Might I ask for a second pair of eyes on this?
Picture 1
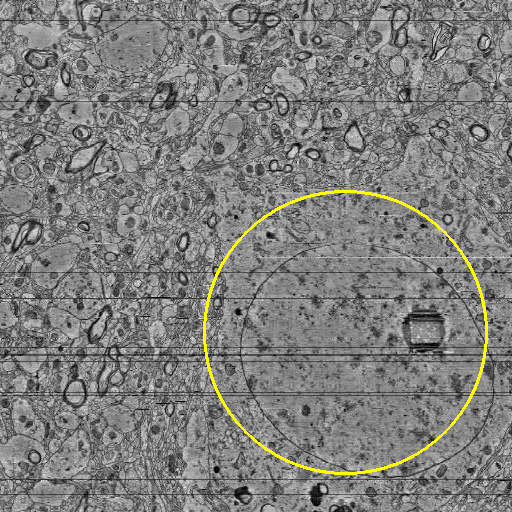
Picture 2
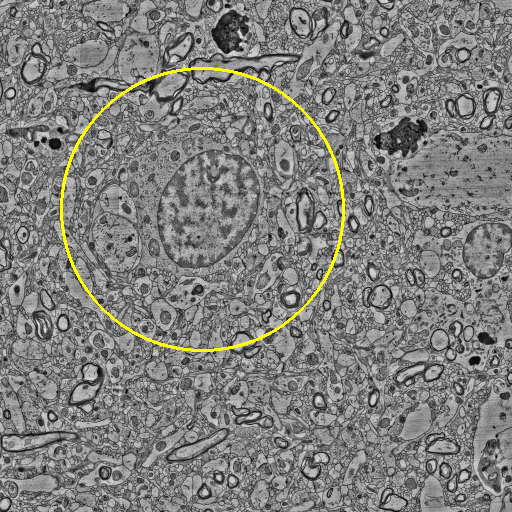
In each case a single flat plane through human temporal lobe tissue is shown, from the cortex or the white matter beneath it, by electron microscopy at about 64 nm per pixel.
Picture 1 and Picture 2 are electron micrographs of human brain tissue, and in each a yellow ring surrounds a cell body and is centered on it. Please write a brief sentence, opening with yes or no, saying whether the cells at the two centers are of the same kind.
No, the cells are of two kinds.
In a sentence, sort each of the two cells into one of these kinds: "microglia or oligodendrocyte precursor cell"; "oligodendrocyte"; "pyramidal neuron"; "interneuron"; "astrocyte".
The first of the two cells is a pyramidal neuron, and the second is an oligodendrocyte.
